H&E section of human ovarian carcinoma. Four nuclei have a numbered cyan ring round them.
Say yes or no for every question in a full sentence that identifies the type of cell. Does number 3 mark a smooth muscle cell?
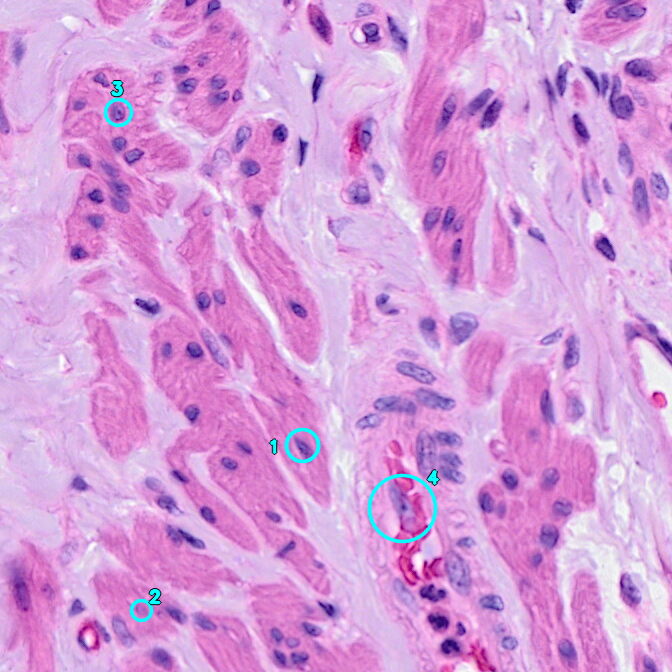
Yes, in this tissue section, number 3 is a smooth muscle cell.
